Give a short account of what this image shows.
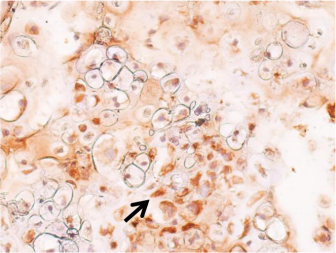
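Chondrocytes crowd in clusters within pale matrix, many sitting in clear rounded spaces with thin outlines like lacunae. A dense group toward the centre and lower part shows strong brown staining of cytoplasm and nuclei, and a lighter brown haze spreads into the surrounding matrix. These are chondrocytes that are strongly positive for the stain.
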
